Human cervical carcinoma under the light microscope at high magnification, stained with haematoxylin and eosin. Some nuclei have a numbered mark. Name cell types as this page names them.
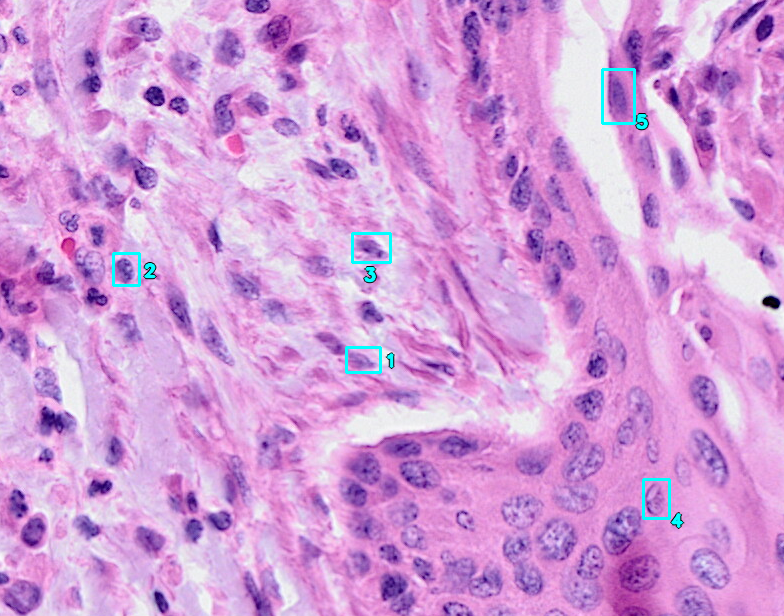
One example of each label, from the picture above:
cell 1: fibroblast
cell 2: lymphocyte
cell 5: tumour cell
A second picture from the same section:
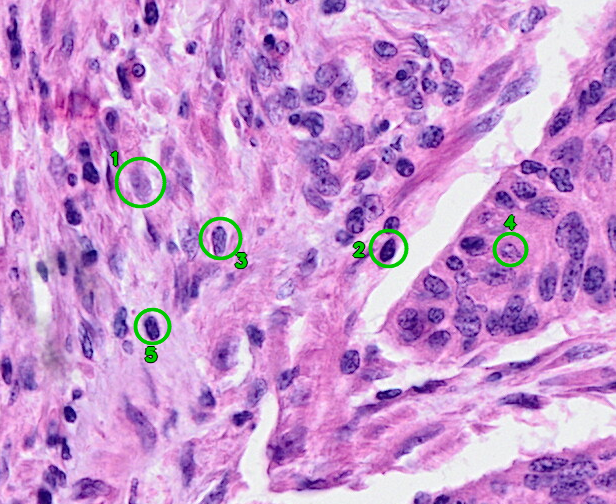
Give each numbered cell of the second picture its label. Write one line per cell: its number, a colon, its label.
1: fibroblast
2: lymphocyte
3: lymphocyte
4: tumour cell
5: lymphocyte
